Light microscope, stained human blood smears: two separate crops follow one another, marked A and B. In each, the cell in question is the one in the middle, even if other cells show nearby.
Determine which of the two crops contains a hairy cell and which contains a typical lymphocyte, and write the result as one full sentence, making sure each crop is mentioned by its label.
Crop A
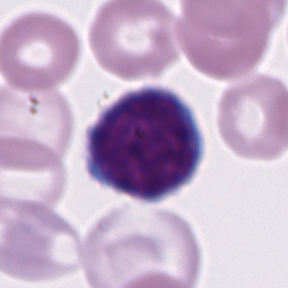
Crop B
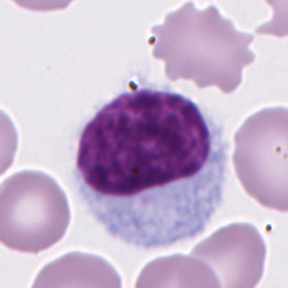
Crop A is a typical lymphocyte, whereas a hairy cell is found in crop B.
